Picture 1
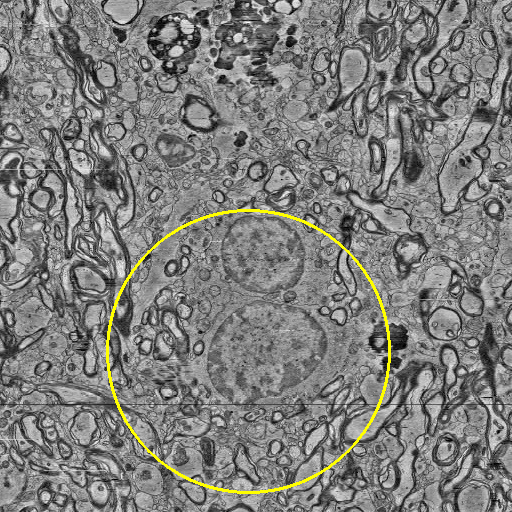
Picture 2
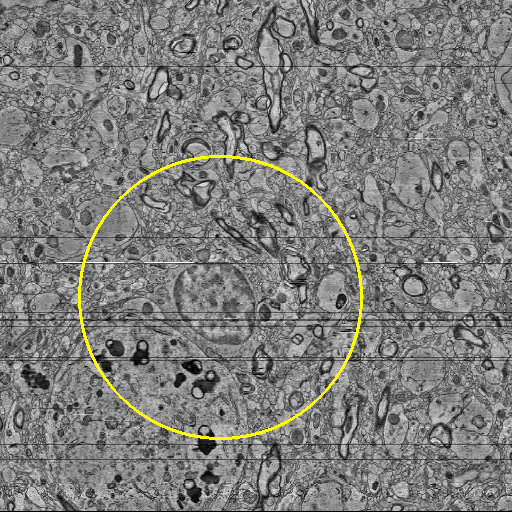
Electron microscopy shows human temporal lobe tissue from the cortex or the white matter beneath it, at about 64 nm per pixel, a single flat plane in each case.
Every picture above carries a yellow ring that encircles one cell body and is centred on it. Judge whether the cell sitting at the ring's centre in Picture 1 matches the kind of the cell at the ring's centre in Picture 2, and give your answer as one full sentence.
Yes, the cells centred in the rings of Pictures 1 and 2 belong to one kind.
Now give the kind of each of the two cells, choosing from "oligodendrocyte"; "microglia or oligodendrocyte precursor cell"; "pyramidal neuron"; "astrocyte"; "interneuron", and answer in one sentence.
The second cell is an oligodendrocyte, just as the first is.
